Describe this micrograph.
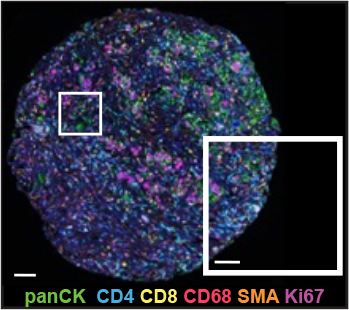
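Green epithelial cells are scattered singly and in small loose groups rather than forming compact glands. Numerous small cyan and yellow cells fill the spaces between them throughout the core, mixed with magenta and red cells.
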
